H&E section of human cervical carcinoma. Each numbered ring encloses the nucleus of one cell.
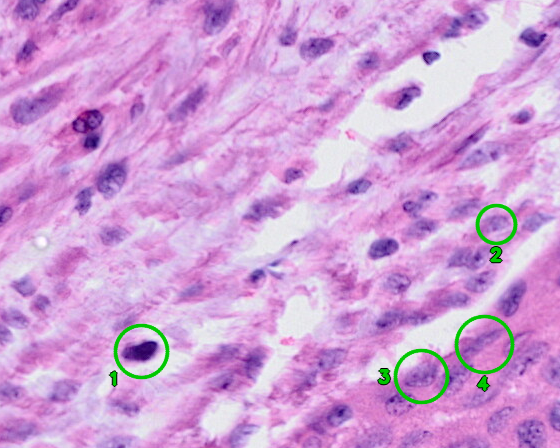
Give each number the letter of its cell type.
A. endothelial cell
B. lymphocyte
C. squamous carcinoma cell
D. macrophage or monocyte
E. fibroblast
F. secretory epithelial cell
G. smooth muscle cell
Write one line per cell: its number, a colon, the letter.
1: B
2: E
3: C
4: C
